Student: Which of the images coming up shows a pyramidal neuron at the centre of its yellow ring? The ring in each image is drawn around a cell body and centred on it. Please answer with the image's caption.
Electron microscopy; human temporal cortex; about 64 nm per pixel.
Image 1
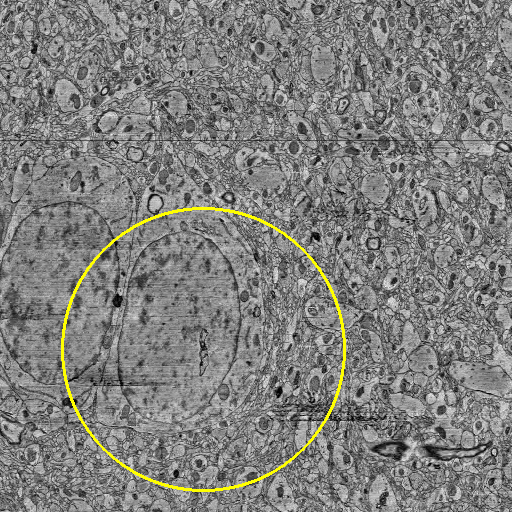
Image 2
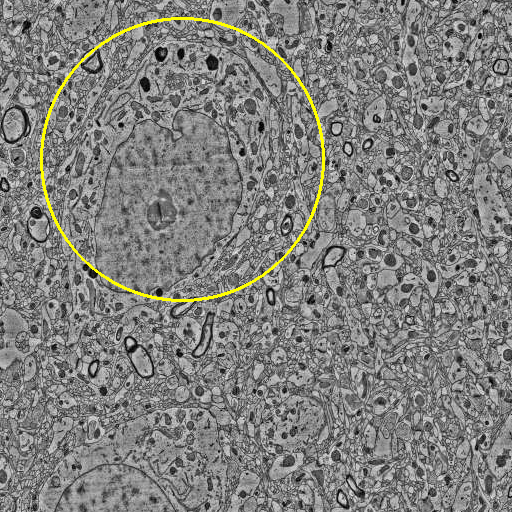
Image 1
